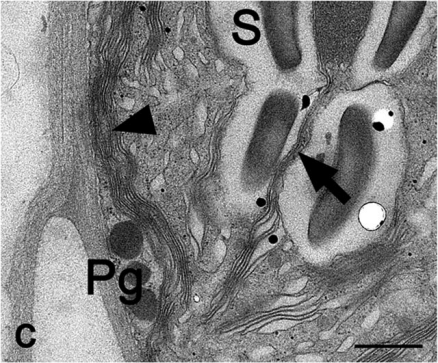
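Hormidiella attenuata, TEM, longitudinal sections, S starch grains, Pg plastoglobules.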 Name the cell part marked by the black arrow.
thylakoids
